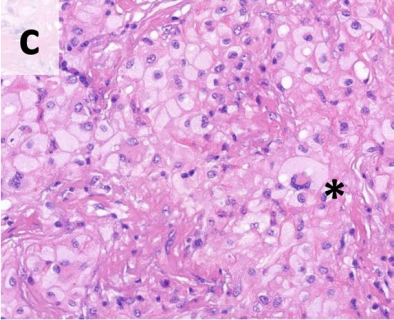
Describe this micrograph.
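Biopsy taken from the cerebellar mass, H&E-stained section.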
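Tumor tissue composed of neoplastic histiocytes with abundant pale, foamy, xanthomatous cytoplasm and distinct cell borders, giving a clear, bubbly appearance. Their nuclei are small, round to oval and fairly uniform. Pink fibrous strands run between groups of cells. A multinucleated giant cell with a ring of nuclei around central pink cytoplasm, of Touton type, lies among them.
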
